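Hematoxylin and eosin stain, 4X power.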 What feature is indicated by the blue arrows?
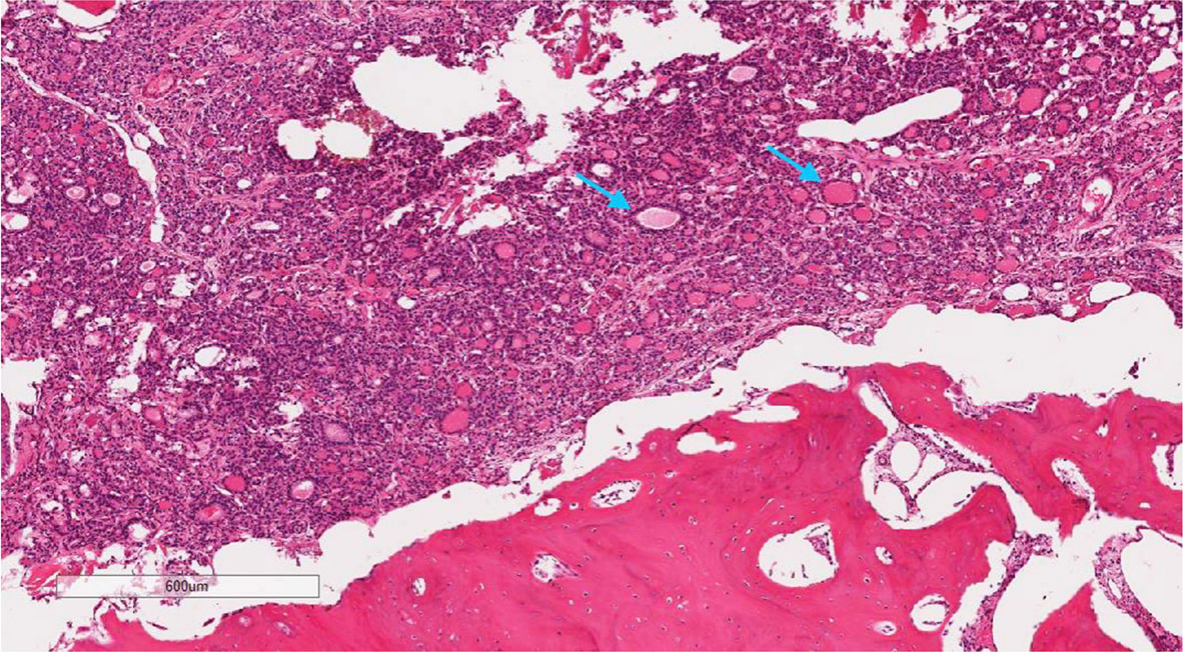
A: follicles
